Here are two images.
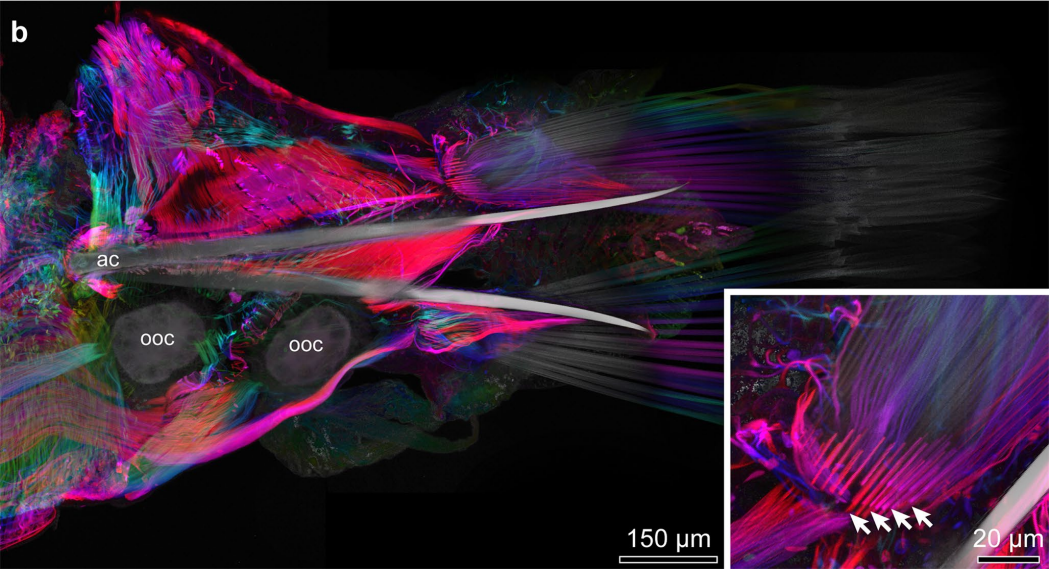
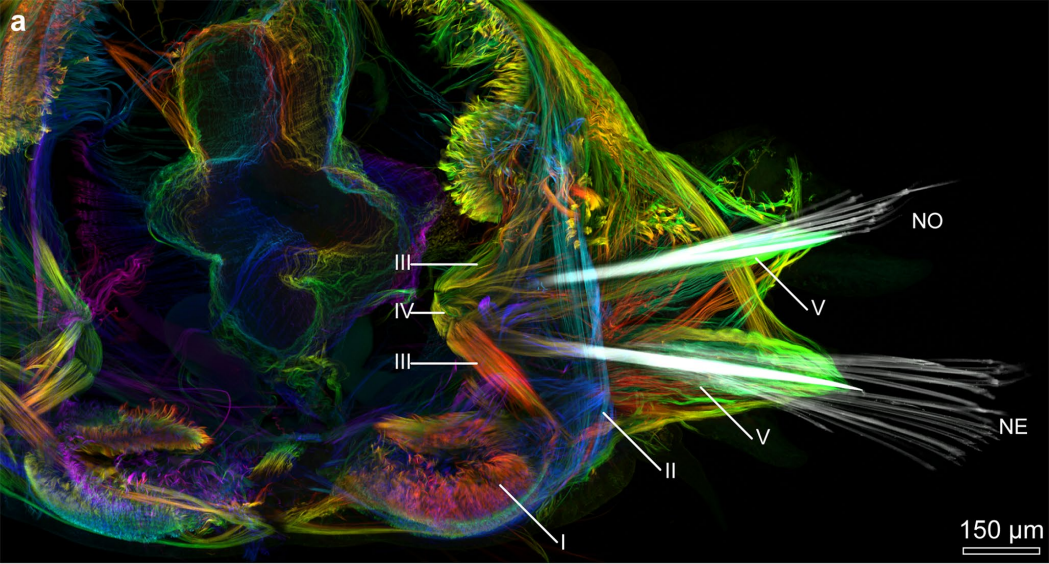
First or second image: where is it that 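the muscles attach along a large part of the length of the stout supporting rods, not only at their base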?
The first image.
